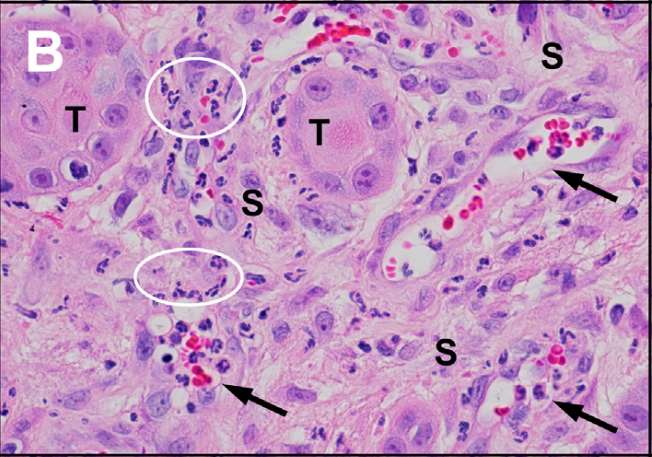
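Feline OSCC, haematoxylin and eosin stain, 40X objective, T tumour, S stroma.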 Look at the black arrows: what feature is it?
Small blood vessels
